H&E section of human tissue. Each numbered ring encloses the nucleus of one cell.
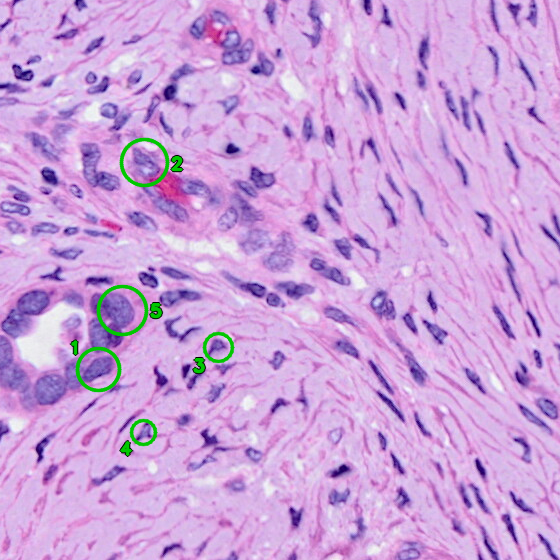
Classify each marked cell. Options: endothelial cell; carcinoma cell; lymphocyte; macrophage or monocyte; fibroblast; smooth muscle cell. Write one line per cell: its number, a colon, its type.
1: carcinoma cell
2: endothelial cell
3: fibroblast
4: fibroblast
5: carcinoma cell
